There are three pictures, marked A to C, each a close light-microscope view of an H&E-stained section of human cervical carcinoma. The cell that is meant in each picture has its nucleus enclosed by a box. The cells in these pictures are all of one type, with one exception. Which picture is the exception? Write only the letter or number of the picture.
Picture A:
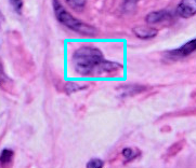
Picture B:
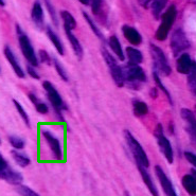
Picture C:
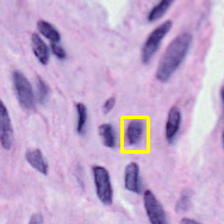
A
